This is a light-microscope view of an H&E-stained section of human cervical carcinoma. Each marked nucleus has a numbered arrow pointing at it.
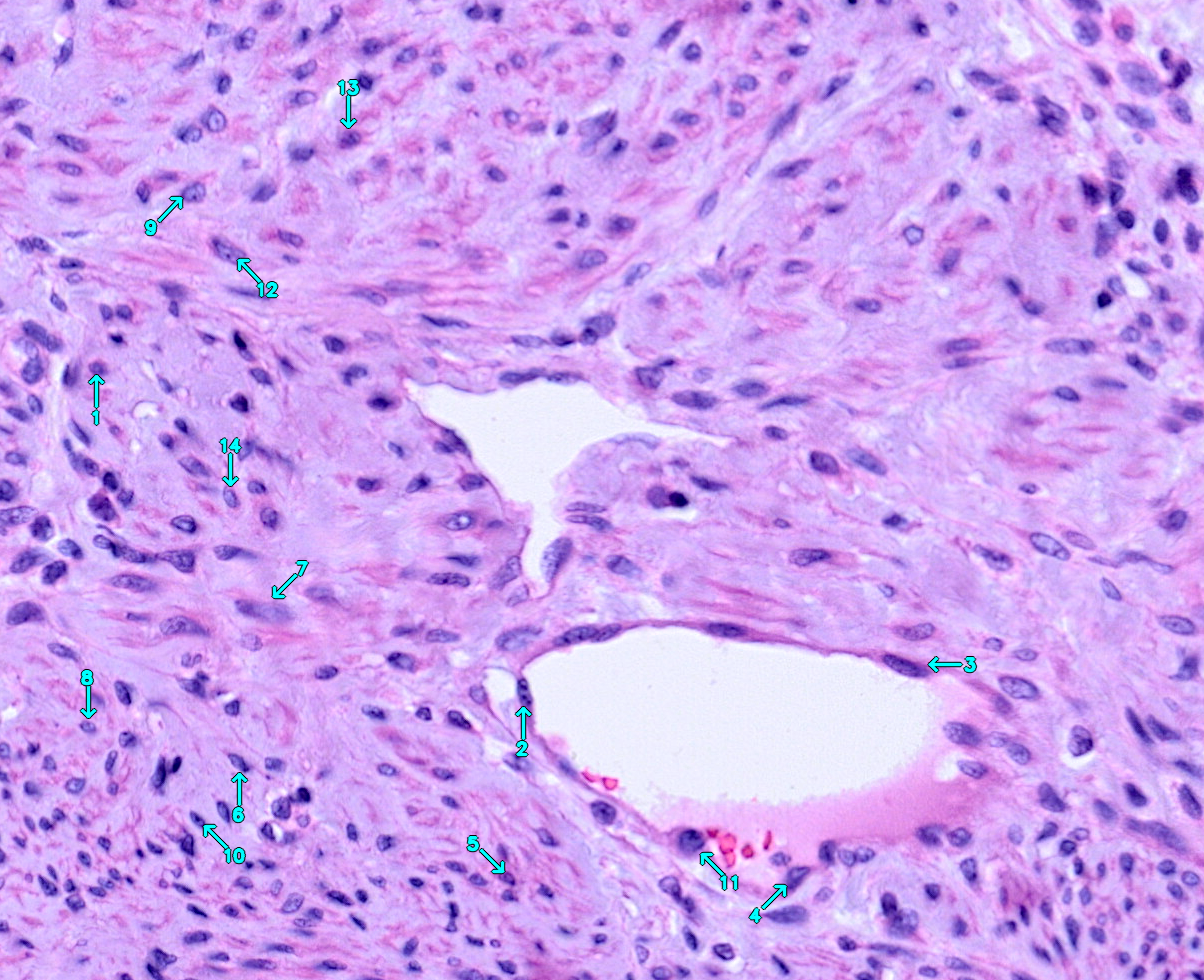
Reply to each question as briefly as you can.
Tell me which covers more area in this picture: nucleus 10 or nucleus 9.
9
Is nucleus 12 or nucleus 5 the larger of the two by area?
12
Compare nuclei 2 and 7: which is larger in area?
7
